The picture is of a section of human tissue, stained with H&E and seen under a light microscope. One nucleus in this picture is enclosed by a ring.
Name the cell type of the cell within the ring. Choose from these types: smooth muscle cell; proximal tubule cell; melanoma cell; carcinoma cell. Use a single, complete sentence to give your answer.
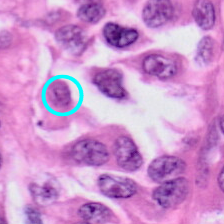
In the tissue at hand, the cell within the ring is a melanoma cell.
